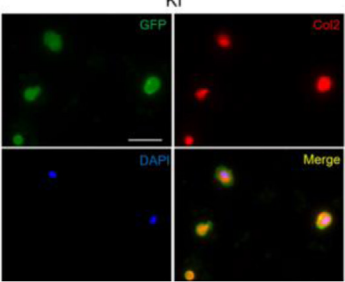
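Scattered, isolated chondrocytes appear as small rounded cells lying apart from one another, with no processes. Each cell shows a compact round green signal and a matching round red signal. In the merged view these overlap as yellow-orange around the small blue nuclei.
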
